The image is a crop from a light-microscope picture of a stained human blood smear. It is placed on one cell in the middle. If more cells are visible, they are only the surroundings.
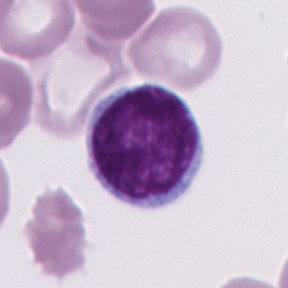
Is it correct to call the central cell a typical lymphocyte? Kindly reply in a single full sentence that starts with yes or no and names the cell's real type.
Yes, the cell of interest in the middle is a typical lymphocyte.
